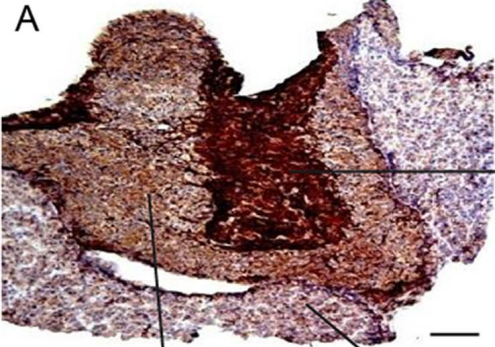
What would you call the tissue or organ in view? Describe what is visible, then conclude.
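A small gland section with distinct lobes of differing texture. A pale purple cellular lobe wraps around a more darkly stained central part. A cleft-like space separates parts of the gland. The answer: pituitary.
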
